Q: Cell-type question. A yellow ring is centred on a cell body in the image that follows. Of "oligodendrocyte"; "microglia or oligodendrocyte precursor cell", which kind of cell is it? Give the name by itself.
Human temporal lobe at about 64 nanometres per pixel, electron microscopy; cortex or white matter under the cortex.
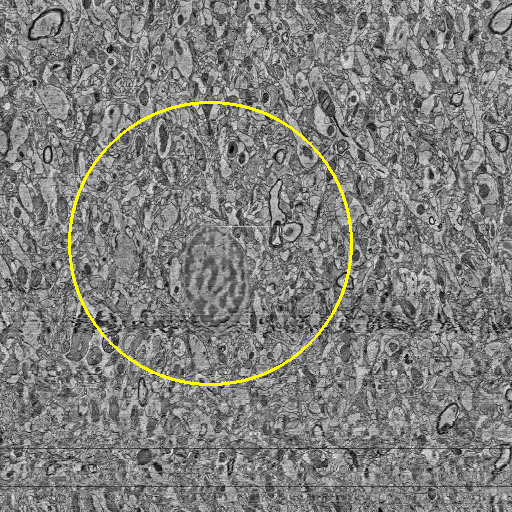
oligodendrocyte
